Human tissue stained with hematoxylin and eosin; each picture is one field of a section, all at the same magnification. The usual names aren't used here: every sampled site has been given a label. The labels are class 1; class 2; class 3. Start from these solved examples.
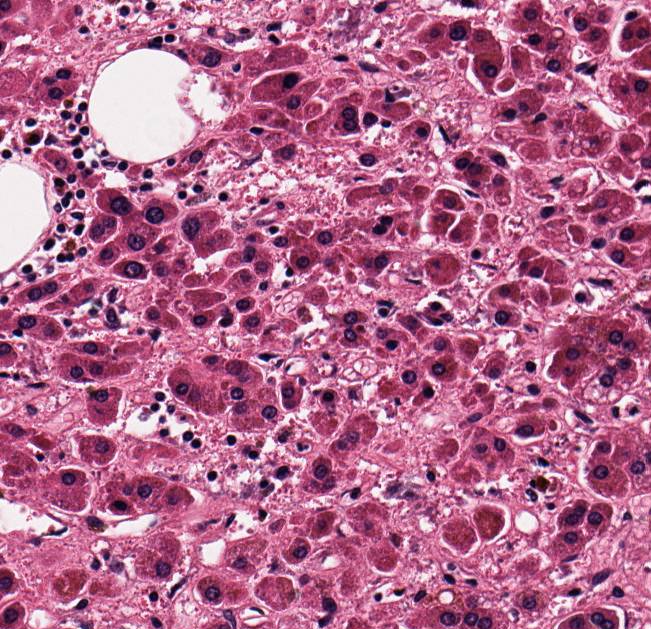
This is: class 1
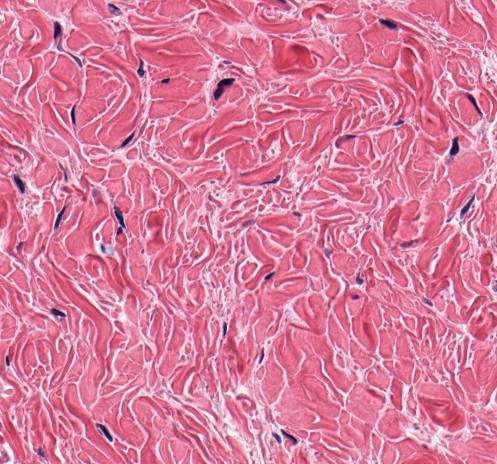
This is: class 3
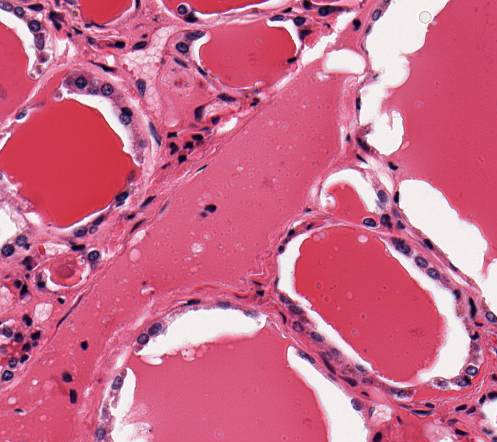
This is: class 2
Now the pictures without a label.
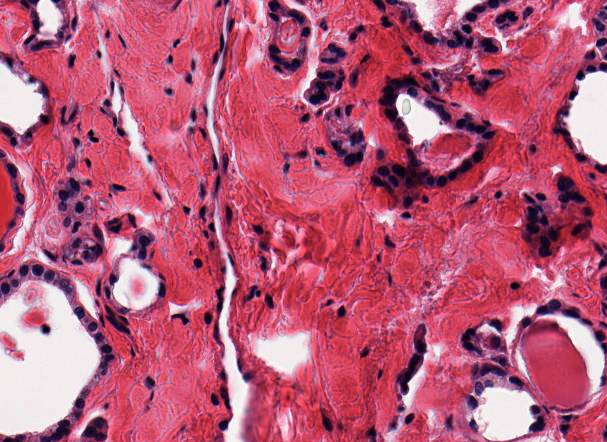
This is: class 2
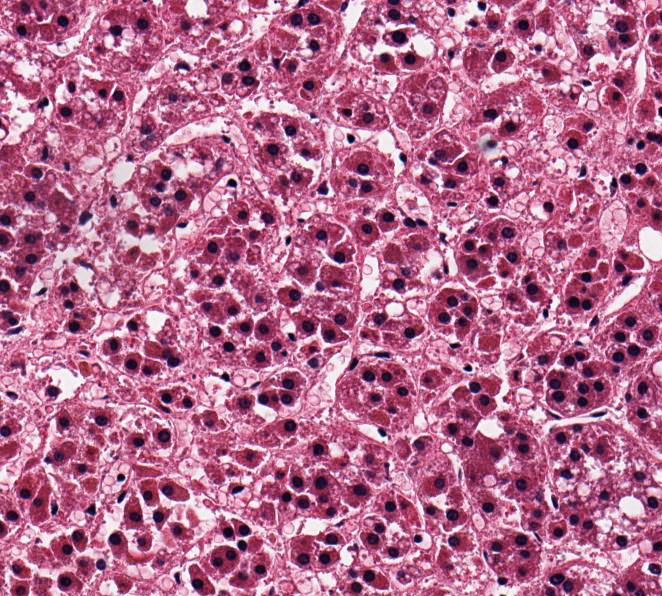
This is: class 1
